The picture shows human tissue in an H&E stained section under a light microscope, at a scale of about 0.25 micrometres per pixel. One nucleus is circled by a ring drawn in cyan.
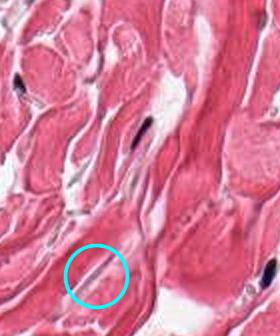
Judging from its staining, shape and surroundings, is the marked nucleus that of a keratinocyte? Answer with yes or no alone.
no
